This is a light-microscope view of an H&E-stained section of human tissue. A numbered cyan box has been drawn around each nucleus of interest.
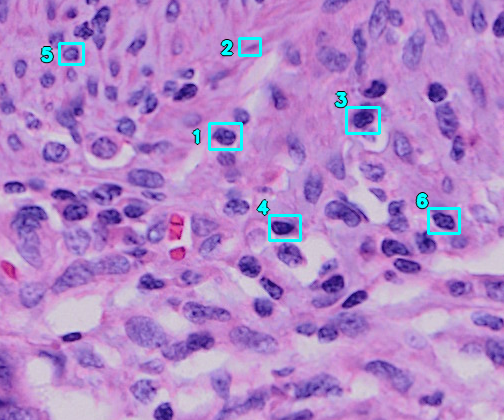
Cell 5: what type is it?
smooth muscle cell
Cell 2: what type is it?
smooth muscle cell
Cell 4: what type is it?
lymphocyte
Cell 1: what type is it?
lymphocyte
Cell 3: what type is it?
lymphocyte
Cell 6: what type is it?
lymphocyte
